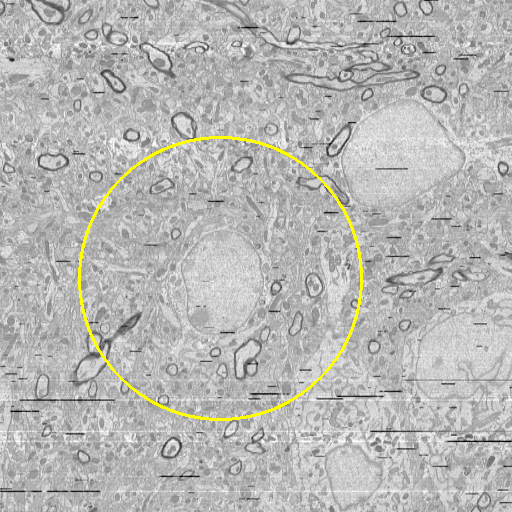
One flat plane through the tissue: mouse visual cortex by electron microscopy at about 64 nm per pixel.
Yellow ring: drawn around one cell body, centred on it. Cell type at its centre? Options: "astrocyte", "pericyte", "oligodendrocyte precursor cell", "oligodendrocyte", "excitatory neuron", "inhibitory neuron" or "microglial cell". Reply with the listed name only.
astrocyte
